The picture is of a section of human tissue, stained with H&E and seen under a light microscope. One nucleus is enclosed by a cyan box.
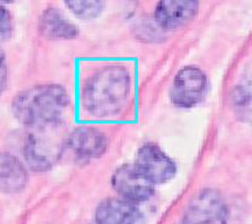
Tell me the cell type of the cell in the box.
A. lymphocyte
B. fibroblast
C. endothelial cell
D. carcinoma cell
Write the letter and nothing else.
D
